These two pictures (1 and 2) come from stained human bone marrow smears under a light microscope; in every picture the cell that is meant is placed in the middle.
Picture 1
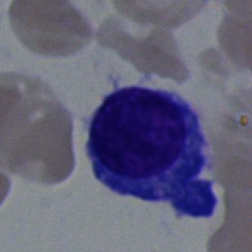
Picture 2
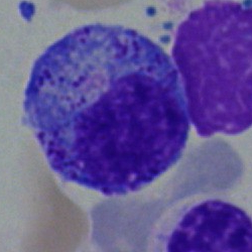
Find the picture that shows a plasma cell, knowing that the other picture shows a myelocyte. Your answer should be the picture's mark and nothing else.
1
